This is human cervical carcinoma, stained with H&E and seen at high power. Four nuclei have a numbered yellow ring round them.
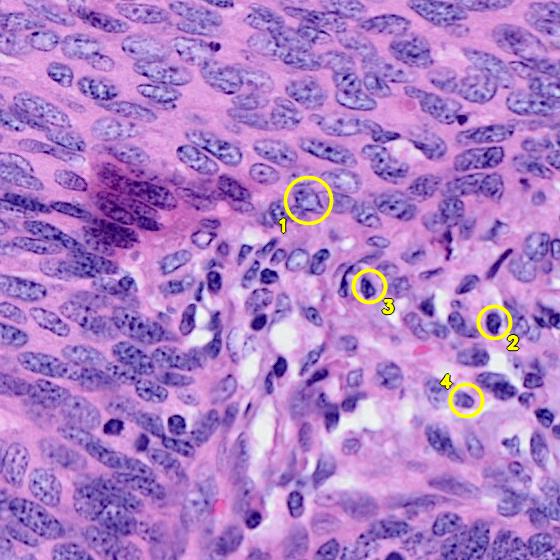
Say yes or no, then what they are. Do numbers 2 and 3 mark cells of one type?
Yes, both cell 2 and cell 3 count among the lymphocytes.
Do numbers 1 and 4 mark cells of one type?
No, unlike cell 1, which is a squamous carcinoma cell, cell 4 is a lymphocyte.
